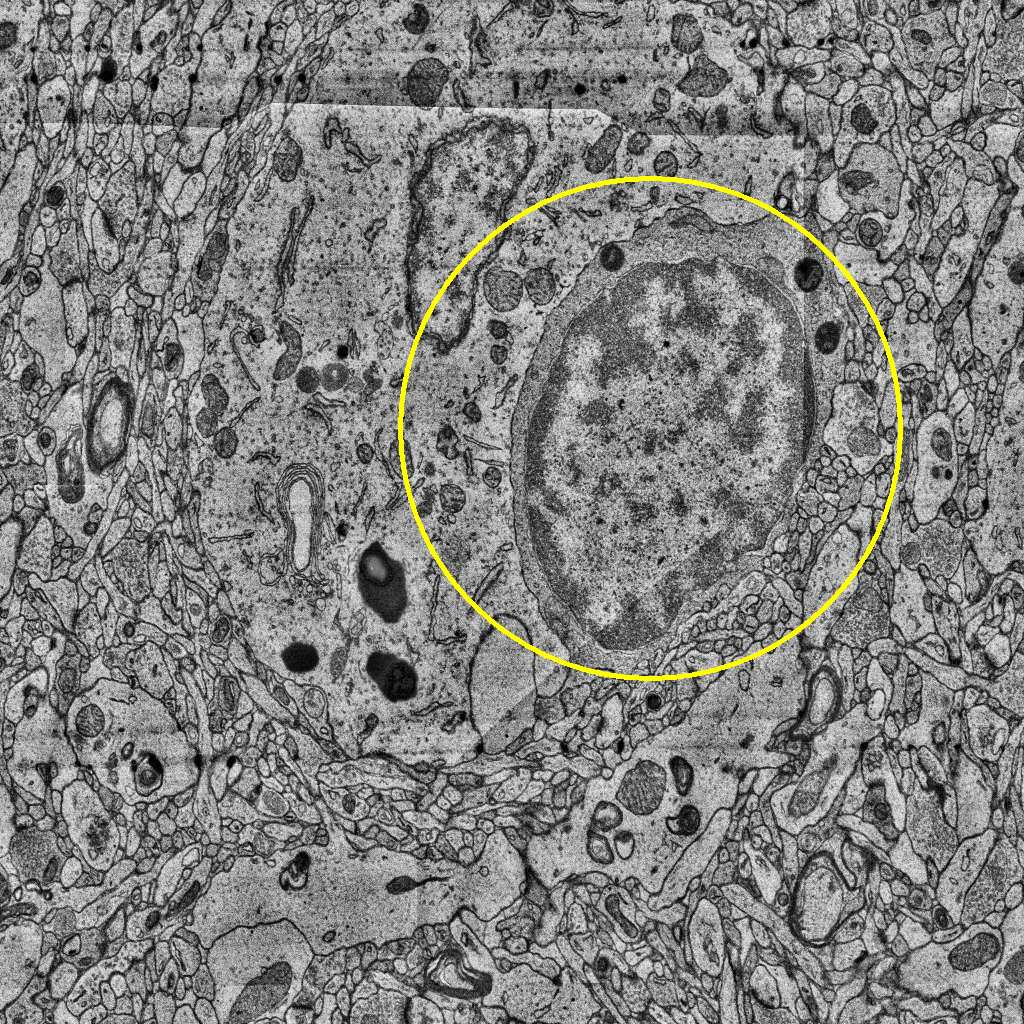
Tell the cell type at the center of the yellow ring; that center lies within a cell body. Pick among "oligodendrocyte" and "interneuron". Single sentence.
The ring's center lies in the body of an oligodendrocyte.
